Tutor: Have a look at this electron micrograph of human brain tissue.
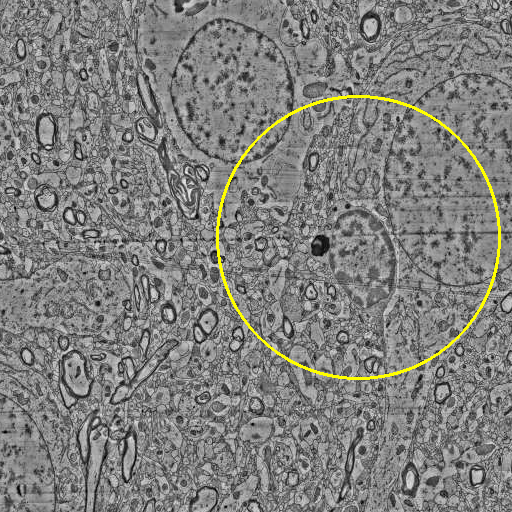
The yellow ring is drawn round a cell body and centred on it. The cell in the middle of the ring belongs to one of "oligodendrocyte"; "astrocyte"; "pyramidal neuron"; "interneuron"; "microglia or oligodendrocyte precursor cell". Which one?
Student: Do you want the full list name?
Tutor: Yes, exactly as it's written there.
oligodendrocyte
